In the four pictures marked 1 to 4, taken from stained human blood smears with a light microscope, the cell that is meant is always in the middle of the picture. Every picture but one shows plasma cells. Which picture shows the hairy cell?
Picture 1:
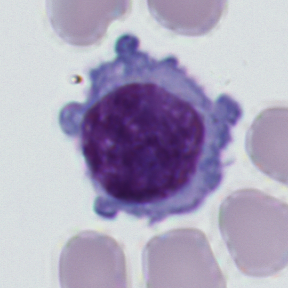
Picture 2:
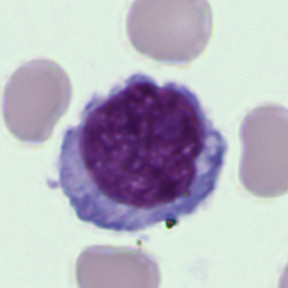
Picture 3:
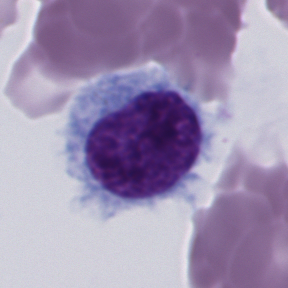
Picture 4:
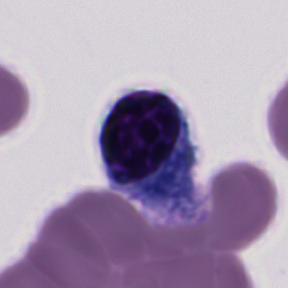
3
